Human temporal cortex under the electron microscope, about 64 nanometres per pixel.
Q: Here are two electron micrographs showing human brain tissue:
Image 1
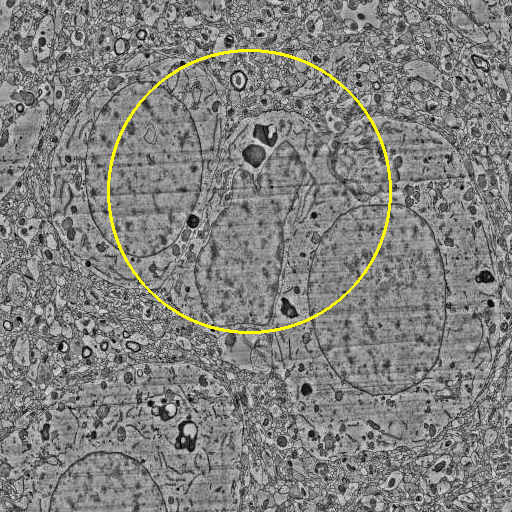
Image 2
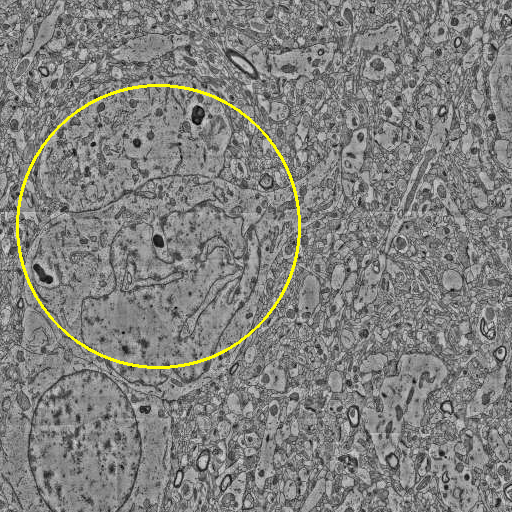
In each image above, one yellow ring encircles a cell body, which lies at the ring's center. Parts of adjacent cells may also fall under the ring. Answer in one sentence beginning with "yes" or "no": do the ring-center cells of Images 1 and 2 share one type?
Yes, in Images 1 and 2, the ring-center cells are both of one type.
